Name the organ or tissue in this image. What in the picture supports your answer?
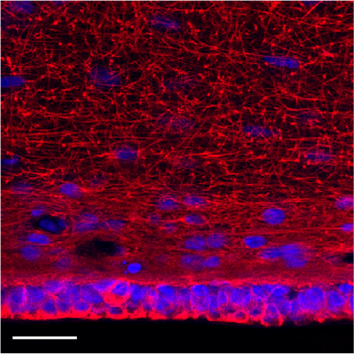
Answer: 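Ependymal layer. A single row of closely packed cuboidal cells with round nuclei lines a free surface at the bottom. Above this row lies a dense meshwork of fine red fibres.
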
